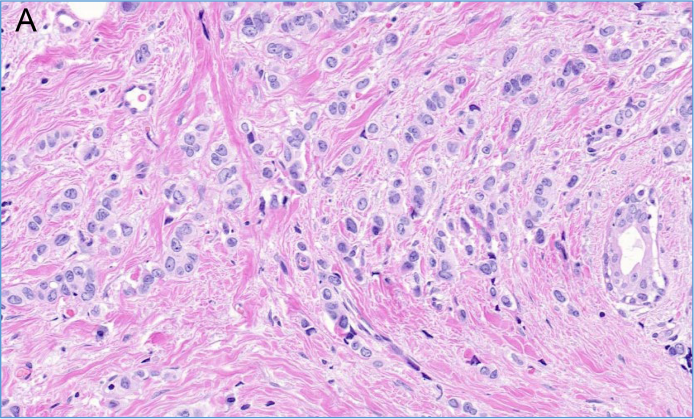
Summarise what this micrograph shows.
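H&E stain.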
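These are invasive carcinoma cells spread singly and in loose single-file strands through dense pink collagenous stroma rather than forming glands or solid nests. The cells have rather scant pale cytoplasm and round to oval nuclei of moderately varying size, some with visible nucleoli. A small duct at the right lies amid the infiltrating cells, which seem to stream around it.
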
